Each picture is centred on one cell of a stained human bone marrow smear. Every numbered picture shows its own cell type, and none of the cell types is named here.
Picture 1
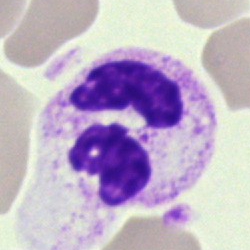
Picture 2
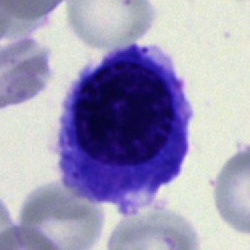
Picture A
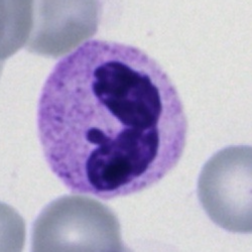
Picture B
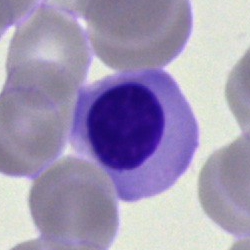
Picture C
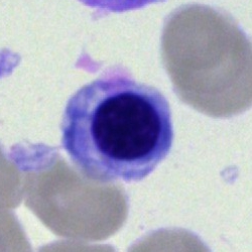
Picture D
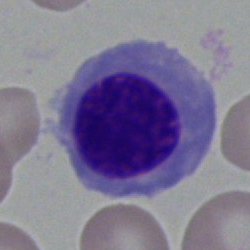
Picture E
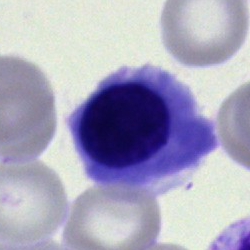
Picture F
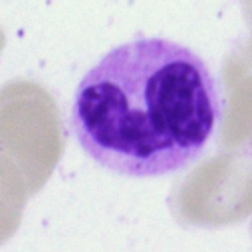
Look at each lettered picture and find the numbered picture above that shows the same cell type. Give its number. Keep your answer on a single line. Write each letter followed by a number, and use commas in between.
A 1, B 2, C 2, D 2, E 2, F 1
